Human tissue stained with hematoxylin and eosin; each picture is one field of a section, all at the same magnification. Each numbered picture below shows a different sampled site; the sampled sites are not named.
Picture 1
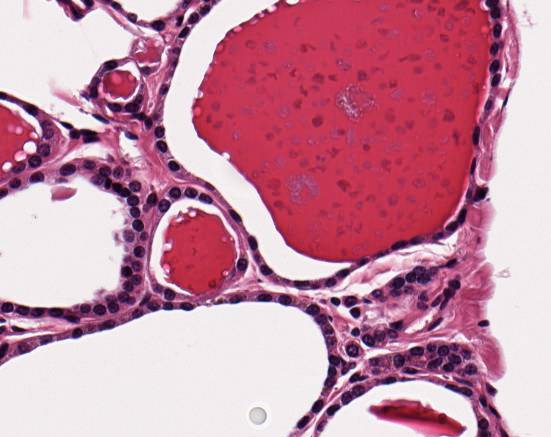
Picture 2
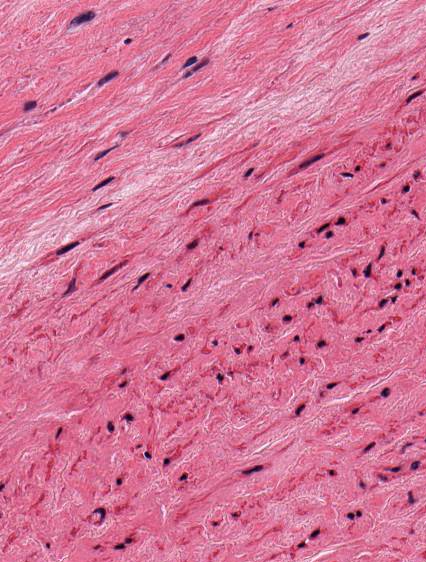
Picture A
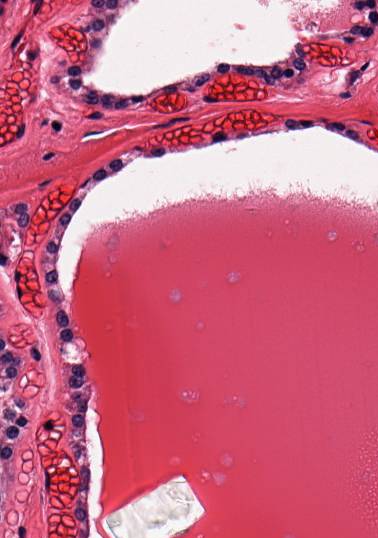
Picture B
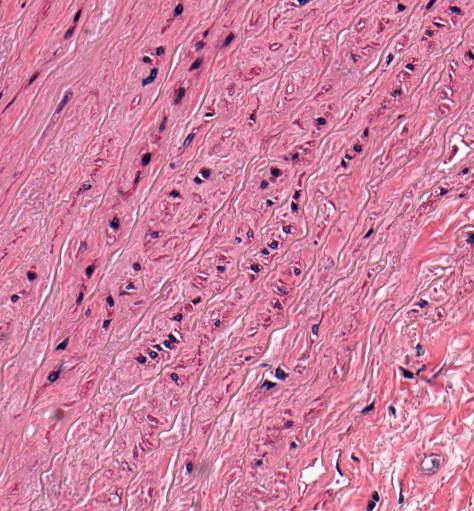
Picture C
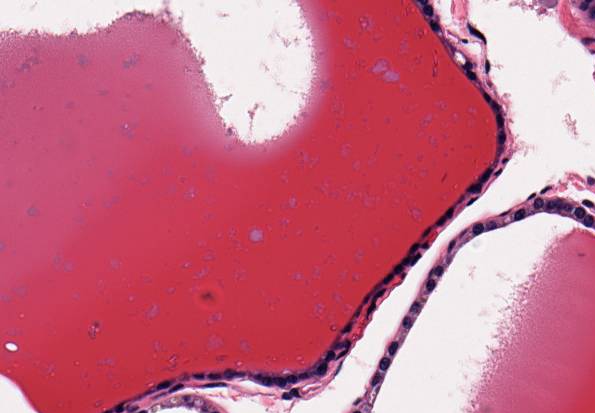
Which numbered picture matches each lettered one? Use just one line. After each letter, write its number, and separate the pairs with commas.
A 1, B 2, C 1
